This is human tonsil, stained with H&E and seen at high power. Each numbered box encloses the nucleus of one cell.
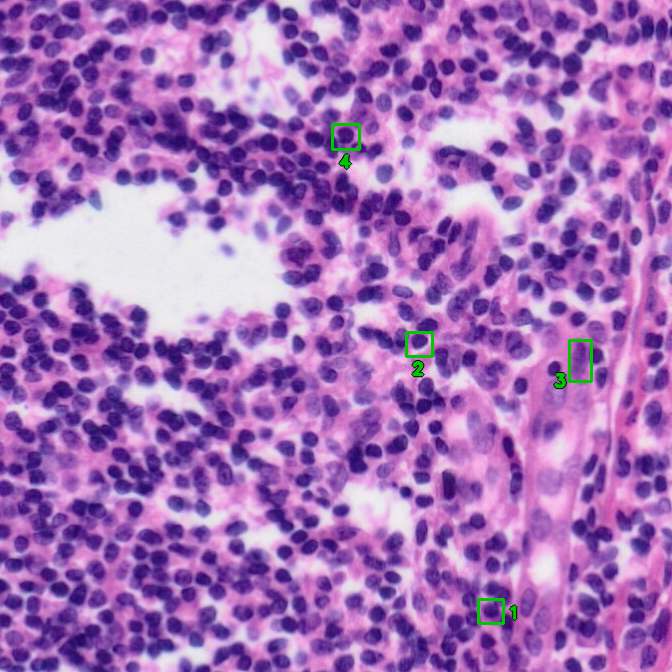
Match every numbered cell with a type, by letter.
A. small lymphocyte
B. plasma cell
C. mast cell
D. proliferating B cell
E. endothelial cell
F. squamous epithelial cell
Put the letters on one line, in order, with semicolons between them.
A; A; E; A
